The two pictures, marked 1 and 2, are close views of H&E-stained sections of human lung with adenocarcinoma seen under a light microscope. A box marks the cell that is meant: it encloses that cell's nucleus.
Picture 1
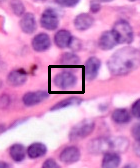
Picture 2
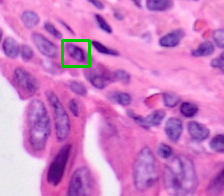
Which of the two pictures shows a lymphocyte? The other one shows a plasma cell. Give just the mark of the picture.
1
